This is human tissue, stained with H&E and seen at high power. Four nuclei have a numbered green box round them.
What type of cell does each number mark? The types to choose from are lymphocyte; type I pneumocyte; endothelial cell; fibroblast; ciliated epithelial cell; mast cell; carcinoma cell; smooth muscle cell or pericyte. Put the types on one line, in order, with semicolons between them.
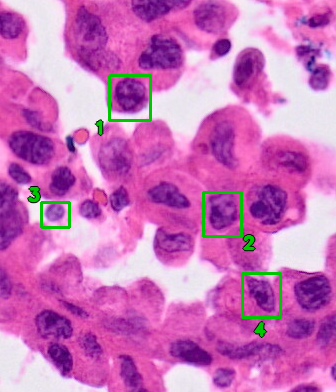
carcinoma cell; carcinoma cell; lymphocyte; carcinoma cell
